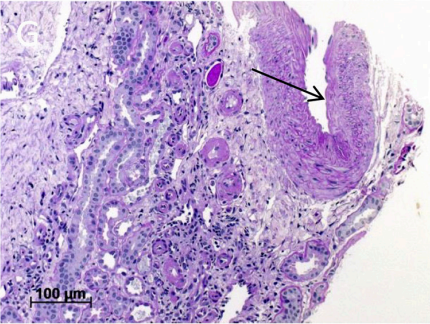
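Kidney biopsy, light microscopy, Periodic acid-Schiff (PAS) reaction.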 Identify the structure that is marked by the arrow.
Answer: Arterial vessel walls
